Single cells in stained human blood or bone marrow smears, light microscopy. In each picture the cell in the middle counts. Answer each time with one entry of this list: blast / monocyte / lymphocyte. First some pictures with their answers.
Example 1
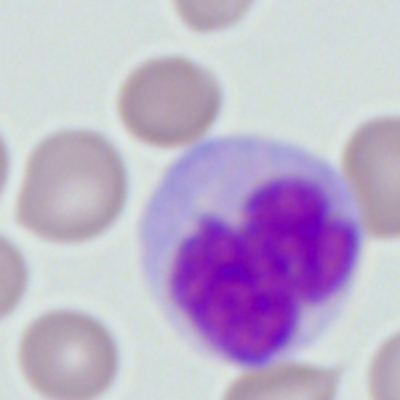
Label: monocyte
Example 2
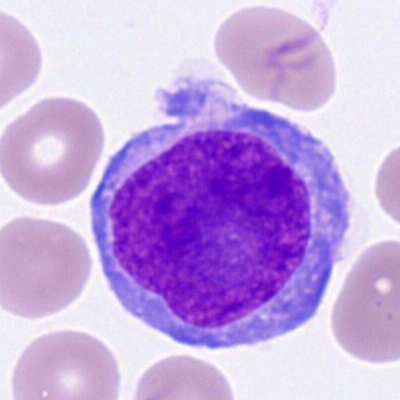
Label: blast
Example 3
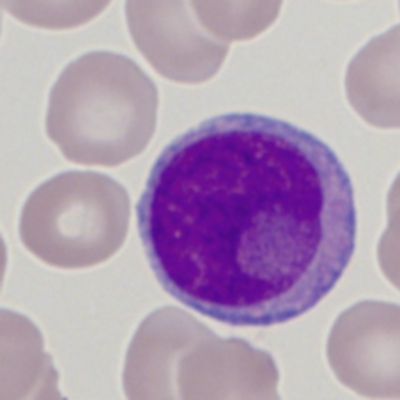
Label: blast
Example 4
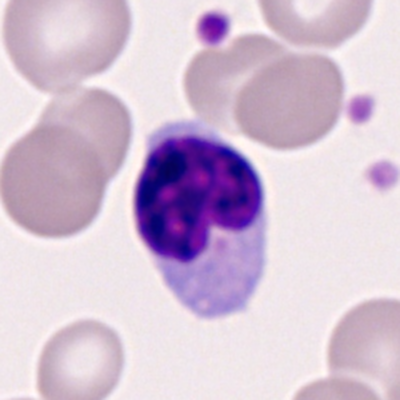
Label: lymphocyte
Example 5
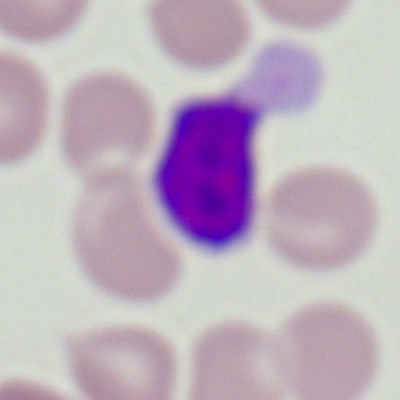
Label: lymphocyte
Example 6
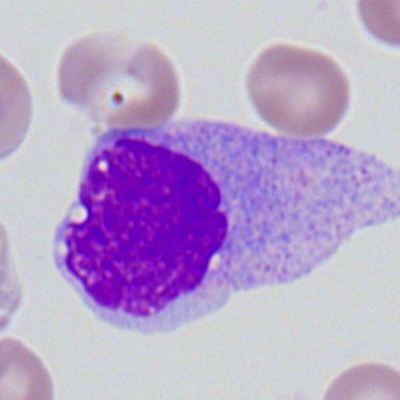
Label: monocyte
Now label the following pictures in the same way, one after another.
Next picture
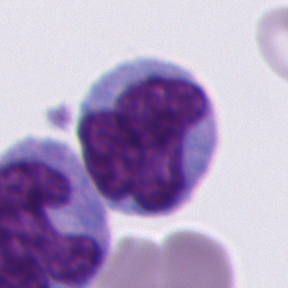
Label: monocyte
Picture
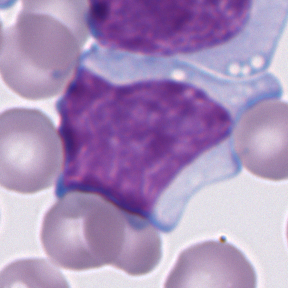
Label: blast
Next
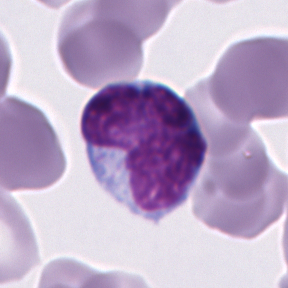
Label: lymphocyte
